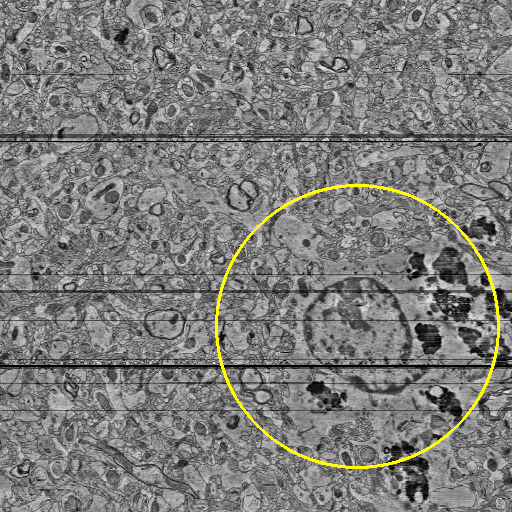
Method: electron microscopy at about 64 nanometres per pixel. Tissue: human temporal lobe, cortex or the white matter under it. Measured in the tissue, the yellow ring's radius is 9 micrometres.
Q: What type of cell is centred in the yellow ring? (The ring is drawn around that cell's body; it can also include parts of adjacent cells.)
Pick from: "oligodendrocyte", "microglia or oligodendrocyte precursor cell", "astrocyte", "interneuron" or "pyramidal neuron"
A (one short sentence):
The yellow ring is centred on an astrocyte.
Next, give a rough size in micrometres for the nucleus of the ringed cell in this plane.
Roughly 8 by 6 micrometres in this plane, for the nucleus of the ringed cell.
